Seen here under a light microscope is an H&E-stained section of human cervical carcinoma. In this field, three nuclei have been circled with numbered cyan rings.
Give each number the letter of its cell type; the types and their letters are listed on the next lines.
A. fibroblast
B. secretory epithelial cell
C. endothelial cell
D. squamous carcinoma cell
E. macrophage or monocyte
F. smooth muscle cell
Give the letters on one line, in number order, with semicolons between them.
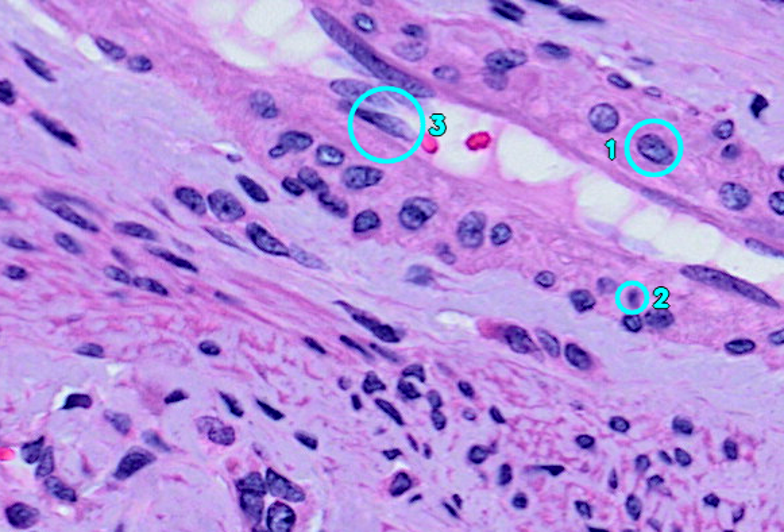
F; F; C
